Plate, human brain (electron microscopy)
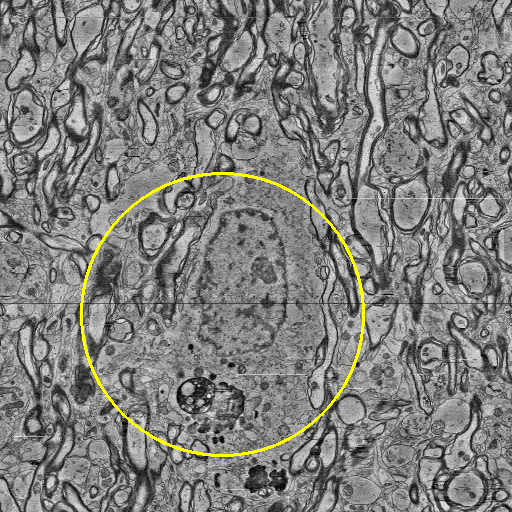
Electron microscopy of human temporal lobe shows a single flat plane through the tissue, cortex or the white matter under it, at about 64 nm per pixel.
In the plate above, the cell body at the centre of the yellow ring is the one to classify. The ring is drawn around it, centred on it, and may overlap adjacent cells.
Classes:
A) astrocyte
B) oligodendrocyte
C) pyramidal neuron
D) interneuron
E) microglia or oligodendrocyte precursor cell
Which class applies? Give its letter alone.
A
